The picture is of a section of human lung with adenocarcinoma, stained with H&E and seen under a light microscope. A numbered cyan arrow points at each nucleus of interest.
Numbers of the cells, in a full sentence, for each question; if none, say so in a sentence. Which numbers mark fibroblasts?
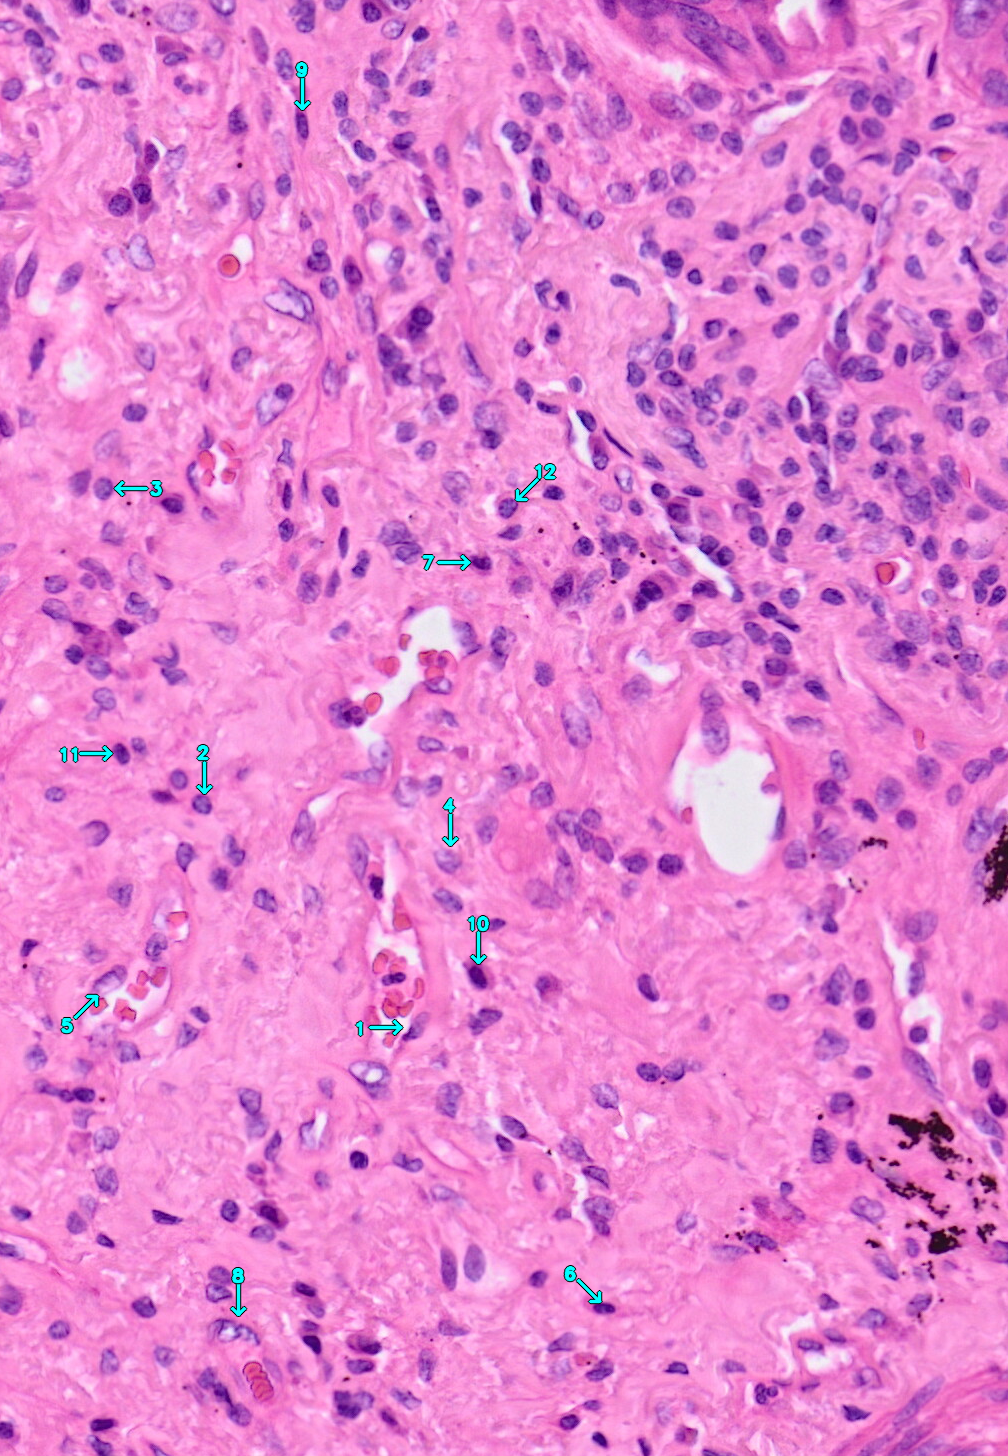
The only cell among those numbered to be a fibroblast is number 4.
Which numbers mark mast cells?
The cells 2, 3, 6, 11 and 12 in this section are mast cells.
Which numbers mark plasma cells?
The numbers 7, 9 and 10 in this section indicate plasma cells.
